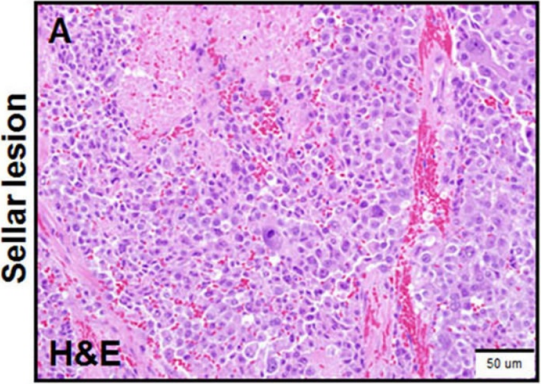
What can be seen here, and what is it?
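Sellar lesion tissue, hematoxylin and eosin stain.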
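The nuclei vary in size, with scattered enlarged, dark nuclei among the smaller ones. Thin channels filled with red blood cells run through the sheets, and fibrous pink strands cross the lower left corner.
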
